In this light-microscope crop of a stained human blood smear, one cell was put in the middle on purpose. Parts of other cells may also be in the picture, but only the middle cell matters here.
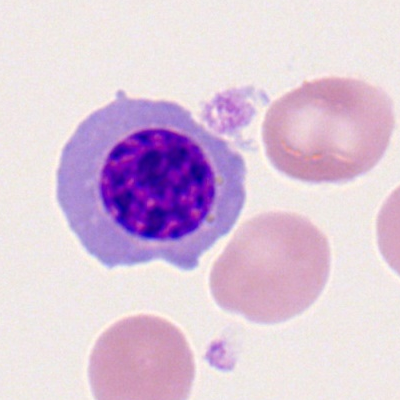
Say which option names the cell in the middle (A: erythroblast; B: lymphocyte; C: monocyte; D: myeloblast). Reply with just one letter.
A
